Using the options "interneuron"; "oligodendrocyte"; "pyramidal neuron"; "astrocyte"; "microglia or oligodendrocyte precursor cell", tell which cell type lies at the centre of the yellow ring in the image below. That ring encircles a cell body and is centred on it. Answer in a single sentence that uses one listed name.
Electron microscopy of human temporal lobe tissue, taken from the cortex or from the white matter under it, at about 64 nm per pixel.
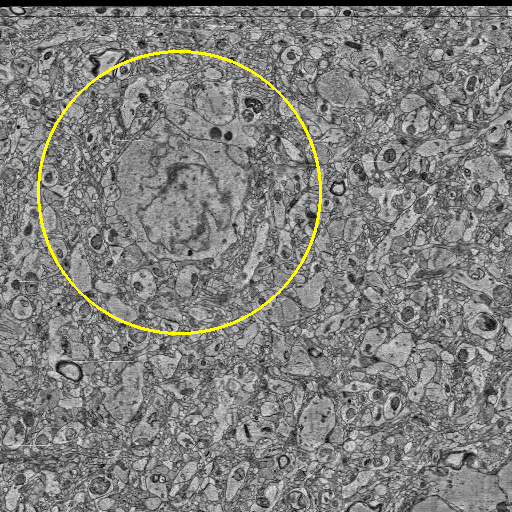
At the centre of the yellow ring lies the body of an interneuron.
